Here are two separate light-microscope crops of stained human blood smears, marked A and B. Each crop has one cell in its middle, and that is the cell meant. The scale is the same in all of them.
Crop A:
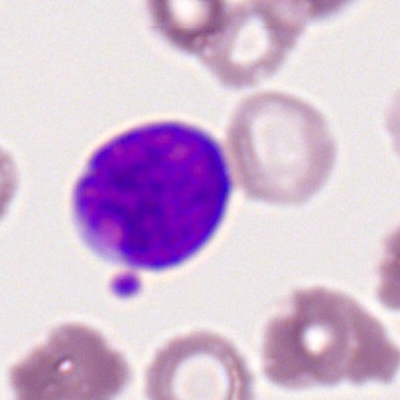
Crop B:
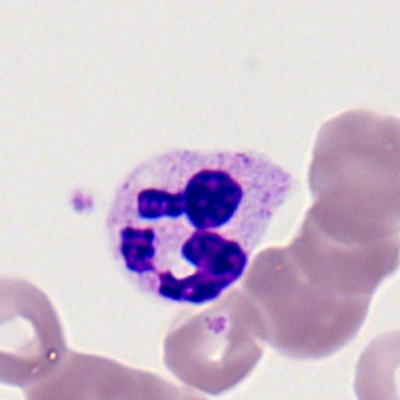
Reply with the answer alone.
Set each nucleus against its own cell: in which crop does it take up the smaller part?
B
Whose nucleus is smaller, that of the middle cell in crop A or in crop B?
B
